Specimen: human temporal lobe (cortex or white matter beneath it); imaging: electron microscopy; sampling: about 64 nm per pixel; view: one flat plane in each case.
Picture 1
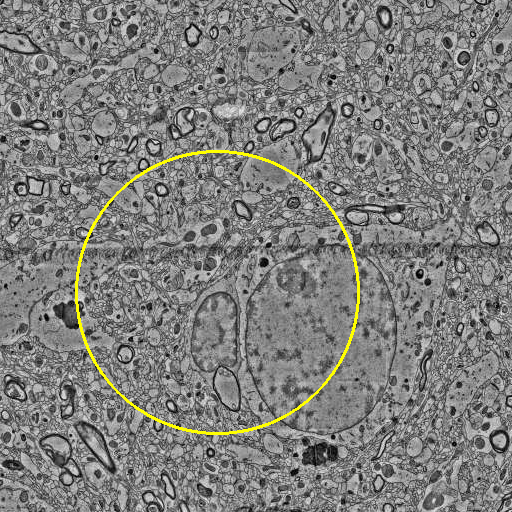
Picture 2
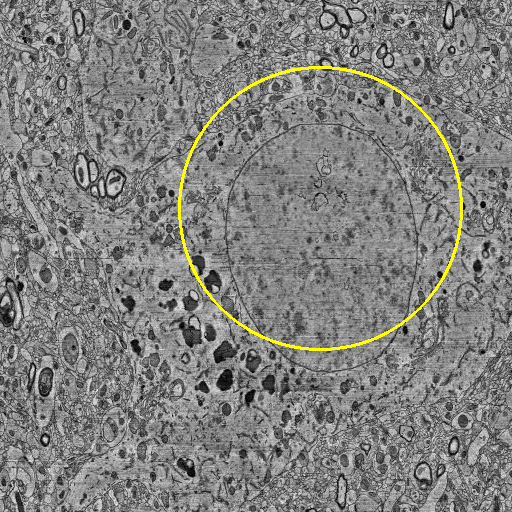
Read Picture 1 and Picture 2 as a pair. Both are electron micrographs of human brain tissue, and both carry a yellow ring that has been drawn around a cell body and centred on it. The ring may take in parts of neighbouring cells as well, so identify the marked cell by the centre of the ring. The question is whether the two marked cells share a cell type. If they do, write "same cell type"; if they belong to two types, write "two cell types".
two cell types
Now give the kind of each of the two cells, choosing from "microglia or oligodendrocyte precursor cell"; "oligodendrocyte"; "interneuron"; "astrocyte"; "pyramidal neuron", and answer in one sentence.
The cell in the first picture is an oligodendrocyte, and the cell in the second is a pyramidal neuron.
